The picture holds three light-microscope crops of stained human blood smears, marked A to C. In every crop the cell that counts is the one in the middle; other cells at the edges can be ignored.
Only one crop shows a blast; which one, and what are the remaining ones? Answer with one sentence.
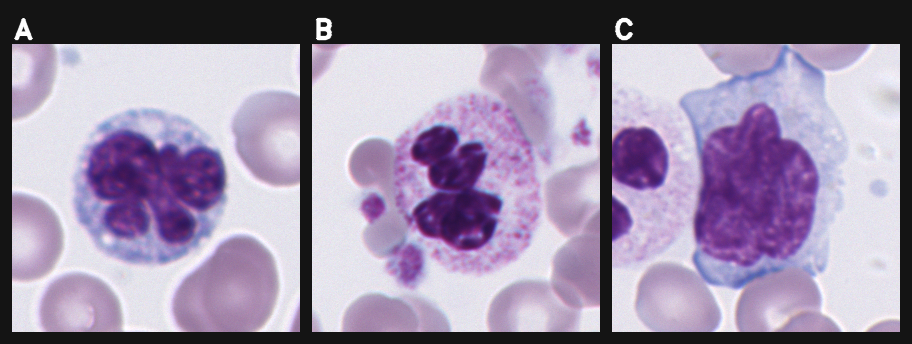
As for the set, crop C shows a blast, while crop A is a monocyte and crop B is a neutrophil.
